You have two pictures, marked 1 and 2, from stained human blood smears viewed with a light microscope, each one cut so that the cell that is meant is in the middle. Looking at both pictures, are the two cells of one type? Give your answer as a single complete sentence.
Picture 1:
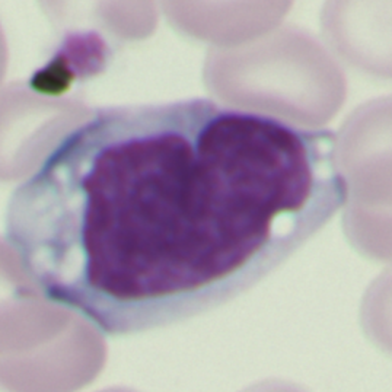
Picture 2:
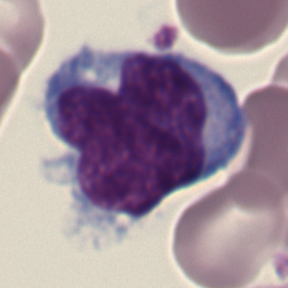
Yes, both cells are monocytes.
